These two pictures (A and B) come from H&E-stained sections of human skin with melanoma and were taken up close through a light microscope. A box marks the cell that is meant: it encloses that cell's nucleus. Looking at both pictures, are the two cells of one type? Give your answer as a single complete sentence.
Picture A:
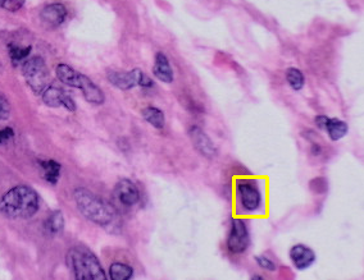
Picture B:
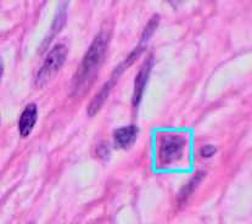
Yes; the cells in both pictures are “macrophages or monocytes”.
